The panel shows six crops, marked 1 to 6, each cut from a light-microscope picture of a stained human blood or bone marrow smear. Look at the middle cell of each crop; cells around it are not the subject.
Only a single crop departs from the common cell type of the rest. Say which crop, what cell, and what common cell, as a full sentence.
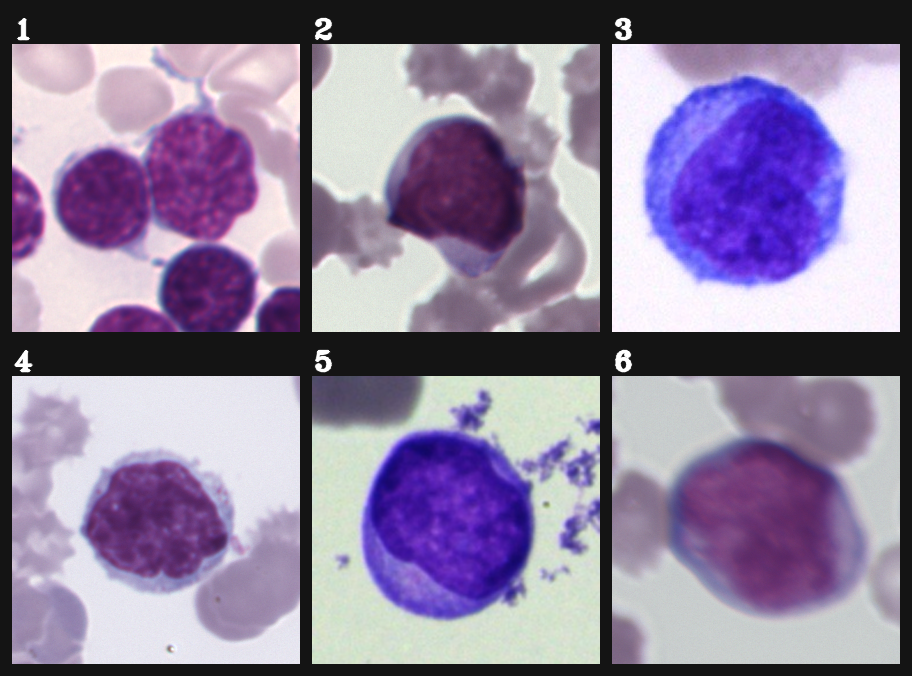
Crop 4 contains a lymphocyte, setting it apart from the other crops, which all contain blasts.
